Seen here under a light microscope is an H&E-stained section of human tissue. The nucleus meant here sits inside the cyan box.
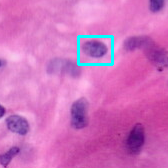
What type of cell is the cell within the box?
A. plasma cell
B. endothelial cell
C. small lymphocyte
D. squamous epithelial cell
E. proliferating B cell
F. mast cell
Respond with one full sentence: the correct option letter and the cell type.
Here the cell within the box is a mast cell; pick option F.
